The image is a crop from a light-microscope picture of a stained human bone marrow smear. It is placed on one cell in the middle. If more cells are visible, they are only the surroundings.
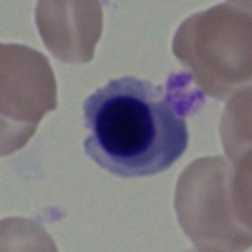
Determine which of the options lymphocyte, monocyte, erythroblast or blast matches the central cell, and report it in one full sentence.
Of the cells in this crop, the central one is an erythroblast.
